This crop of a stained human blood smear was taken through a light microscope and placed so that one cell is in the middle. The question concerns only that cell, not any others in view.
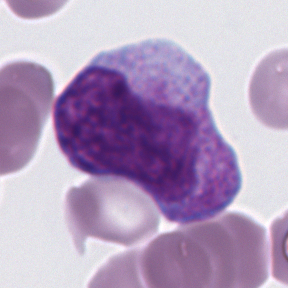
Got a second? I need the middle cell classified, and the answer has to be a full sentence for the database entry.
At the middle of the frame sits an atypical promyelocyte.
